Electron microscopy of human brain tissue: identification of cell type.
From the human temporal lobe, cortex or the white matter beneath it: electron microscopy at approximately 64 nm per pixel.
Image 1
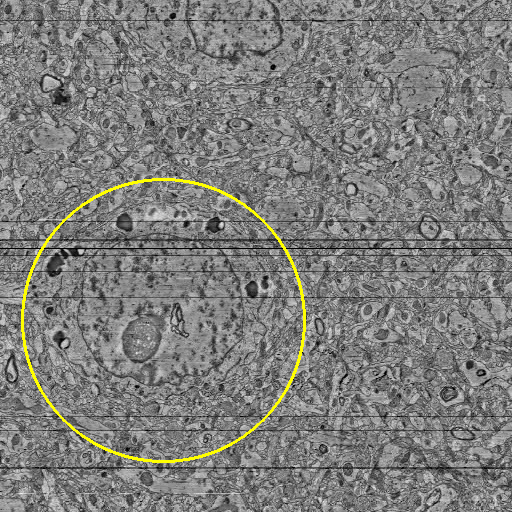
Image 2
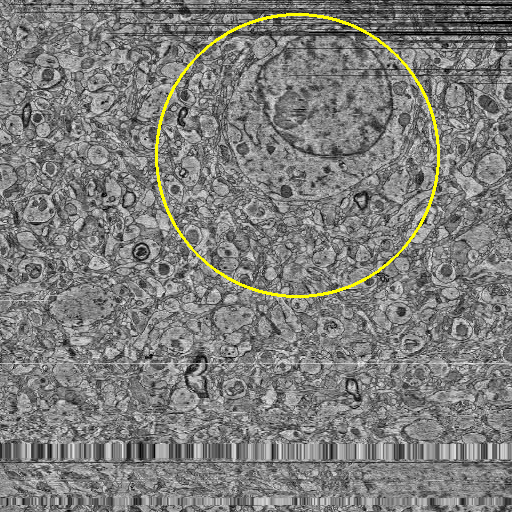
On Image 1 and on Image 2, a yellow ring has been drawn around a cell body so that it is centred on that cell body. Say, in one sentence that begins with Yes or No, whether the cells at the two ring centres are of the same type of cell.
Yes, both cells are the same type of cell.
